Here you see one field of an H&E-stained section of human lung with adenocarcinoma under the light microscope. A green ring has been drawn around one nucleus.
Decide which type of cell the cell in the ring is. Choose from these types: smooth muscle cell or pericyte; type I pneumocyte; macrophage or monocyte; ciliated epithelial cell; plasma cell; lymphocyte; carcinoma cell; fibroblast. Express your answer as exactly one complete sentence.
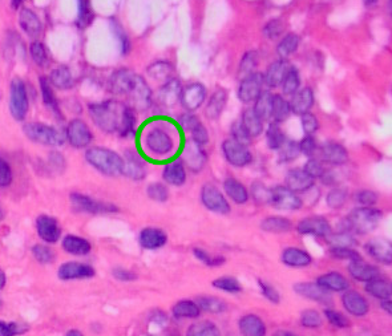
The correct response here is that the cell in the ring is a ciliated epithelial cell.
